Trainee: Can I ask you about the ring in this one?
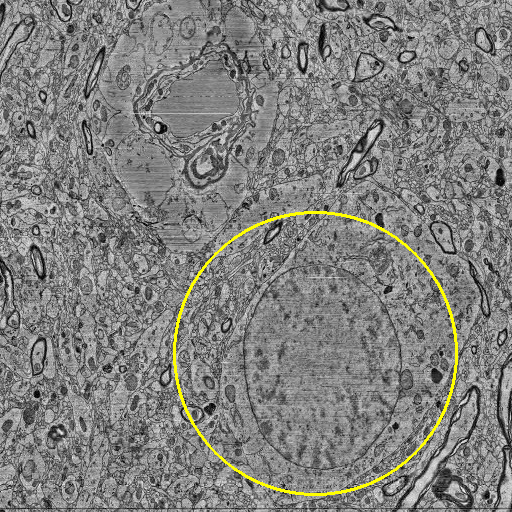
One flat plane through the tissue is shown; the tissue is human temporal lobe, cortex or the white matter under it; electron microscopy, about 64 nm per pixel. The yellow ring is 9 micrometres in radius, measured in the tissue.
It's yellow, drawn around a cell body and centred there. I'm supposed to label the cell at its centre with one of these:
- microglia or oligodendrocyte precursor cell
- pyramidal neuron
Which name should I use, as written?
pyramidal neuron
